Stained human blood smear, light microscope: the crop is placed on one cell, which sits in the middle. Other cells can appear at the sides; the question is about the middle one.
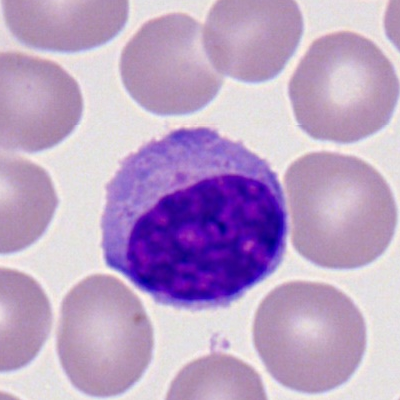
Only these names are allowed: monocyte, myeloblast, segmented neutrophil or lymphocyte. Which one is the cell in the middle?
lymphocyte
